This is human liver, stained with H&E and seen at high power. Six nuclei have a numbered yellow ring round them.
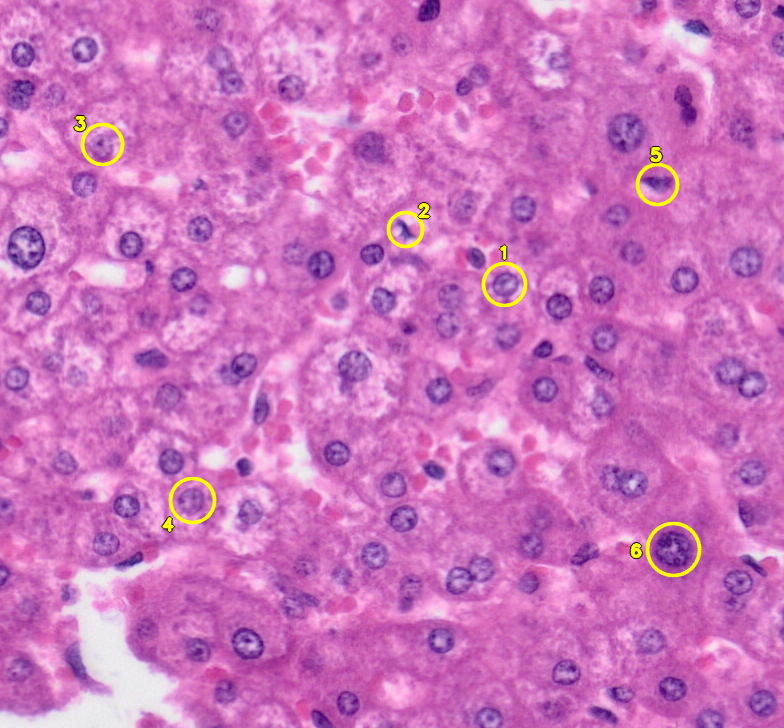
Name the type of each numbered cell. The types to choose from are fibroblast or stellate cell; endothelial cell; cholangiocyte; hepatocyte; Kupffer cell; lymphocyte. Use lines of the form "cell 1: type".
cell 1: hepatocyte
cell 2: endothelial cell
cell 3: hepatocyte
cell 4: hepatocyte
cell 5: endothelial cell
cell 6: hepatocyte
